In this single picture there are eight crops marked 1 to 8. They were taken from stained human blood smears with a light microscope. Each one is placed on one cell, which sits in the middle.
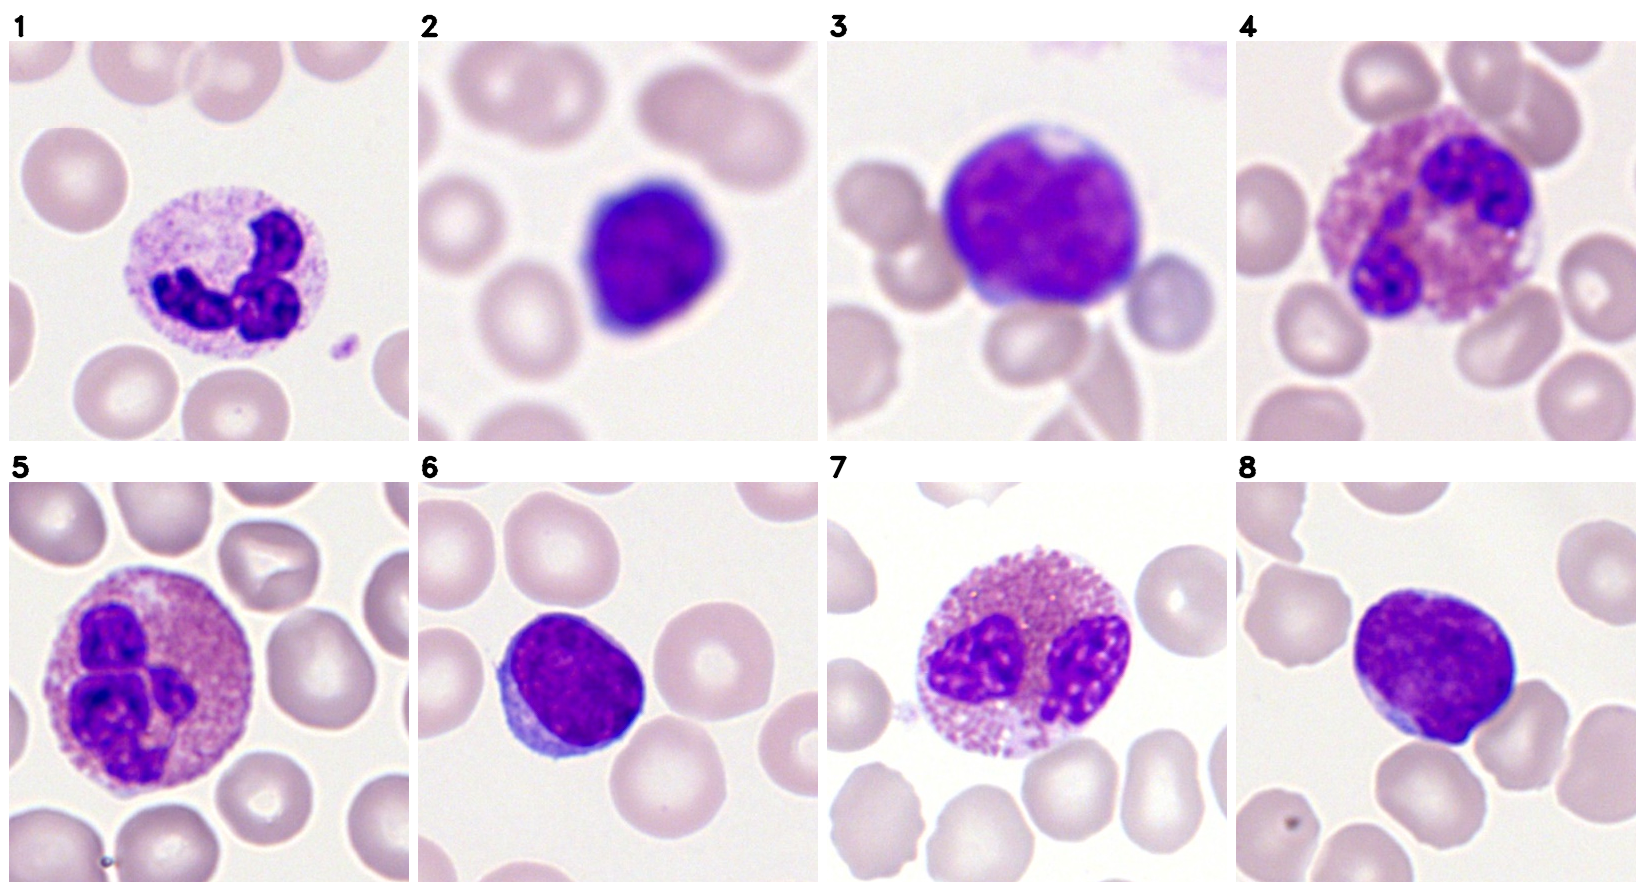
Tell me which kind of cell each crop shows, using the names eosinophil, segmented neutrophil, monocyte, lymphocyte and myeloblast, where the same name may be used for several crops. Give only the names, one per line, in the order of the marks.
segmented neutrophil
lymphocyte
myeloblast
eosinophil
eosinophil
lymphocyte
eosinophil
myeloblast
